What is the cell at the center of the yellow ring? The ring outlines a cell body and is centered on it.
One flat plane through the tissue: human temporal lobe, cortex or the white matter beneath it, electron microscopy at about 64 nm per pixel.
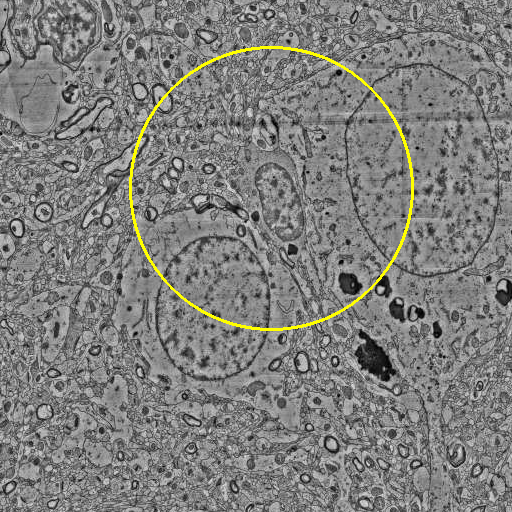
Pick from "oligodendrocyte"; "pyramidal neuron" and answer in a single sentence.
The yellow ring is centered on an oligodendrocyte.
